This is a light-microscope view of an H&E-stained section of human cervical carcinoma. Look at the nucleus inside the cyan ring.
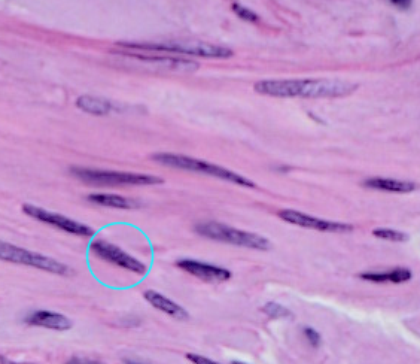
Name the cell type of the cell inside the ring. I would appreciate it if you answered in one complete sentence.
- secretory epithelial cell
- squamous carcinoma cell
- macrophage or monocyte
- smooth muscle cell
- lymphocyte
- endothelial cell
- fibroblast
Typologically, the cell inside the ring is a fibroblast in this section.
